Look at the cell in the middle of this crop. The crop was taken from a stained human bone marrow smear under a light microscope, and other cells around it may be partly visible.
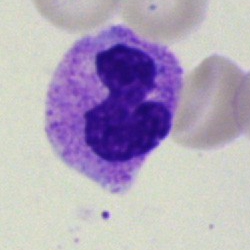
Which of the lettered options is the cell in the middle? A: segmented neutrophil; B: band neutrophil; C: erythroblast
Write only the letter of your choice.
A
